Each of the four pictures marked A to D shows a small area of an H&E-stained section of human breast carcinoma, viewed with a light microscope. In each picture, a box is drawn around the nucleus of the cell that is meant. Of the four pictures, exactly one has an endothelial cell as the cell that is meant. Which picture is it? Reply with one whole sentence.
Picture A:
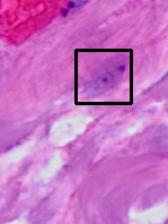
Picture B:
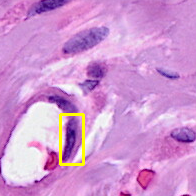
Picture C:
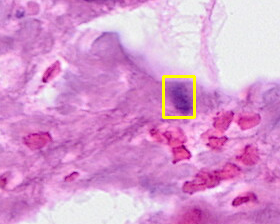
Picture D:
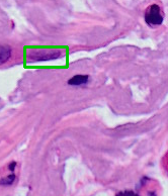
It is picture B that shows the endothelial cell.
